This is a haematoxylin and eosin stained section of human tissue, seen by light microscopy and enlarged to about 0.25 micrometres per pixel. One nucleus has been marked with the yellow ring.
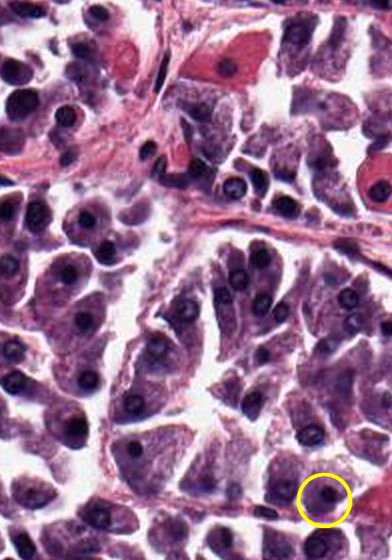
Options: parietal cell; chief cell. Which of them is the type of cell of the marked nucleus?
chief cell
